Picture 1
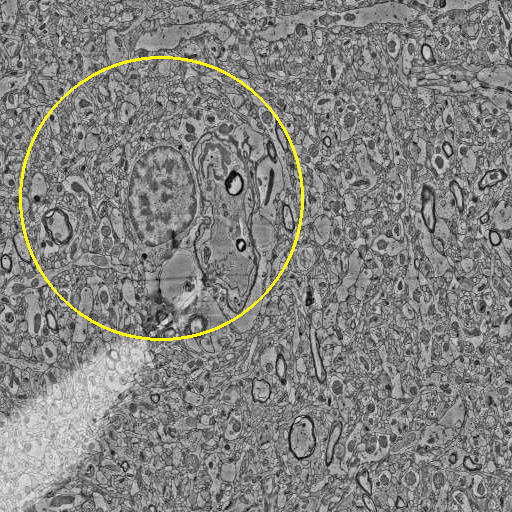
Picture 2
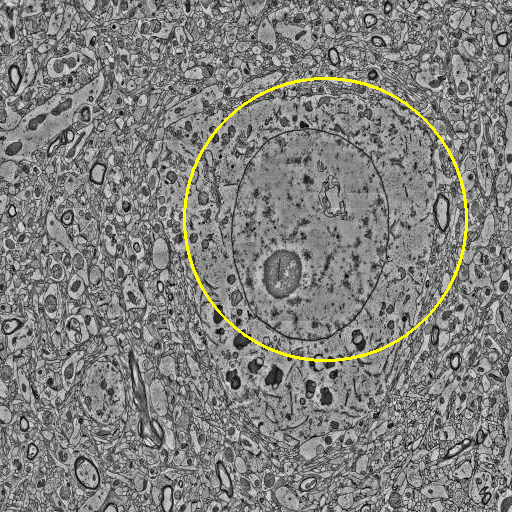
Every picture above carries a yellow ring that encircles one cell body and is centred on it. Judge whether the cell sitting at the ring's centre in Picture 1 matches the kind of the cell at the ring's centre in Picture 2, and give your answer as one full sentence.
No, the cells centred in the rings of Pictures 1 and 2 belong to two kinds.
